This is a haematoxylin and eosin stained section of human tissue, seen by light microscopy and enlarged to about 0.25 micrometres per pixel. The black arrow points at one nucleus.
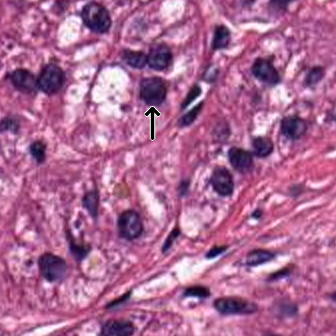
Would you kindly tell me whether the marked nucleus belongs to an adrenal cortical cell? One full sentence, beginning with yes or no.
Yes, the nucleus picked out by the mark belongs to an adrenal cortical cell.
